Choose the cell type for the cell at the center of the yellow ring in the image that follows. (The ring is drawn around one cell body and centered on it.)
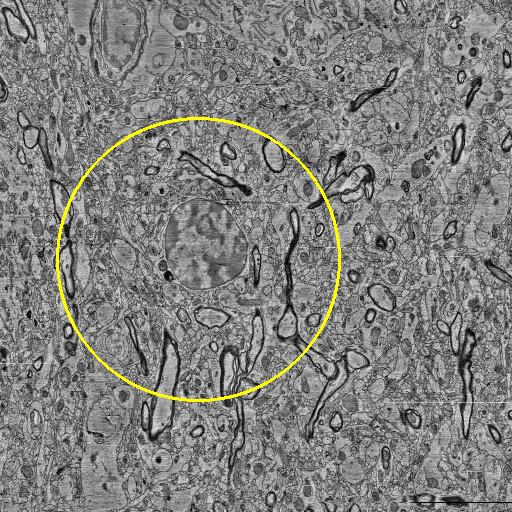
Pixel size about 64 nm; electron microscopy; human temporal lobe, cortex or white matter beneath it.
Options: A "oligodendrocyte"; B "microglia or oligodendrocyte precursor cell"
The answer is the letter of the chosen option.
B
